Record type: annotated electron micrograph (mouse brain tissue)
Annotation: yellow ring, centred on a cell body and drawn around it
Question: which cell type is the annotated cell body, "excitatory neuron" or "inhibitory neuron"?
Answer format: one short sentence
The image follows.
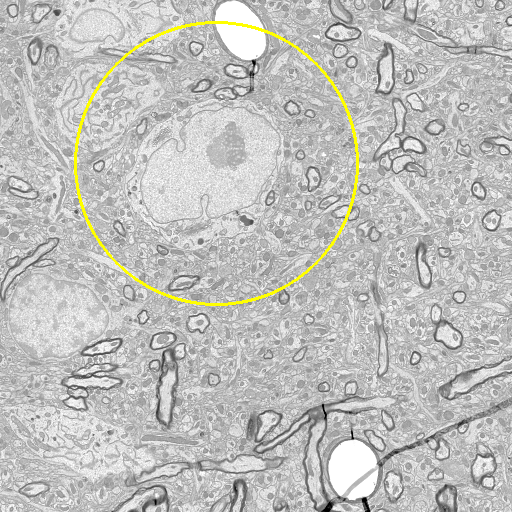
The annotated cell body is that of an inhibitory neuron.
